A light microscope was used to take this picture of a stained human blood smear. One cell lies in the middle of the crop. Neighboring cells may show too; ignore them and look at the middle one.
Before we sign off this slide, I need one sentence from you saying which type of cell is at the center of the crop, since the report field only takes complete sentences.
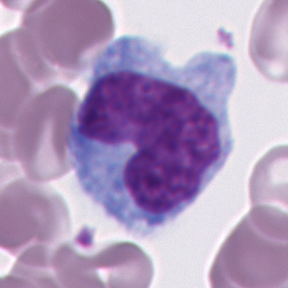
The centrally located cell in the crop is a monocyte.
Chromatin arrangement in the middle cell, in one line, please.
Check the chromatin: it is fine and not coarsely clumped.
